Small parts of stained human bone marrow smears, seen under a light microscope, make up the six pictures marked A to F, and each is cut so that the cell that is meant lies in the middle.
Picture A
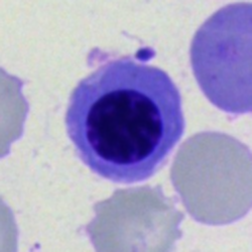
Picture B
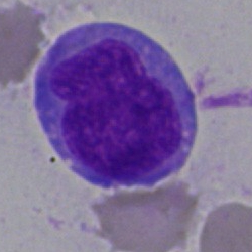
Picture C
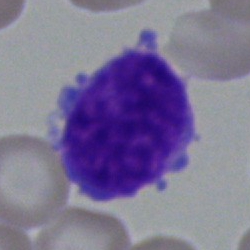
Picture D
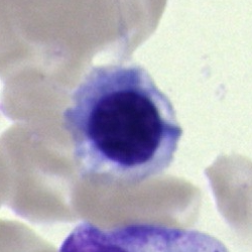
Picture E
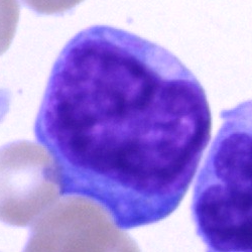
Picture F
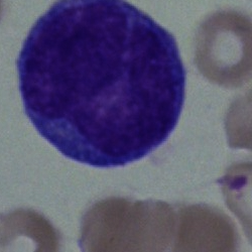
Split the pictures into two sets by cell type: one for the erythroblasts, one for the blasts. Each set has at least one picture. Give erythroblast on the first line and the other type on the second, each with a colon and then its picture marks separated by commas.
erythroblast: A, D
blast: B, C, E, F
